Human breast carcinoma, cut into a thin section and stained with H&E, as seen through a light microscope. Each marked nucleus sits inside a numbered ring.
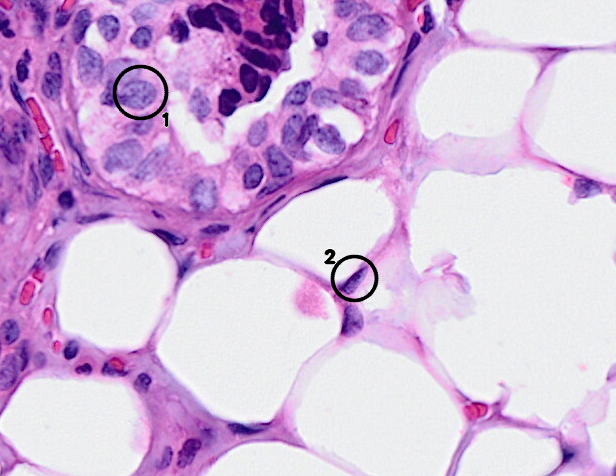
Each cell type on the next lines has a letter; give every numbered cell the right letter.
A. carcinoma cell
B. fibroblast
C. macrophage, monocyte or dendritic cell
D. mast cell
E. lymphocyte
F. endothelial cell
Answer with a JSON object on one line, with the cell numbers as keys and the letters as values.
{"1": "A", "2": "B"}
